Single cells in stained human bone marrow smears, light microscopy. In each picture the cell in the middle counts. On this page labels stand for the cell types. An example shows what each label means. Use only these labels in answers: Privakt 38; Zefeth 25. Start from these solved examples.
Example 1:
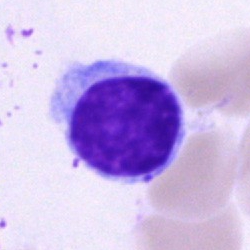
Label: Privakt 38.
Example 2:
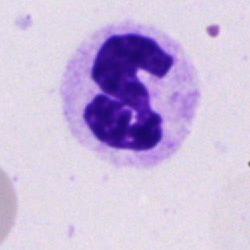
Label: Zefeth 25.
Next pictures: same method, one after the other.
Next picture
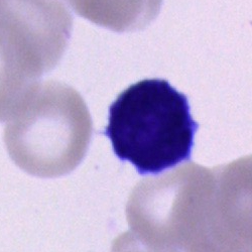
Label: Privakt 38.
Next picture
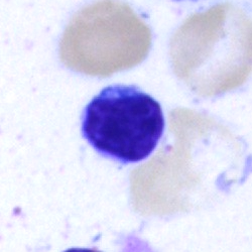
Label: Privakt 38.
